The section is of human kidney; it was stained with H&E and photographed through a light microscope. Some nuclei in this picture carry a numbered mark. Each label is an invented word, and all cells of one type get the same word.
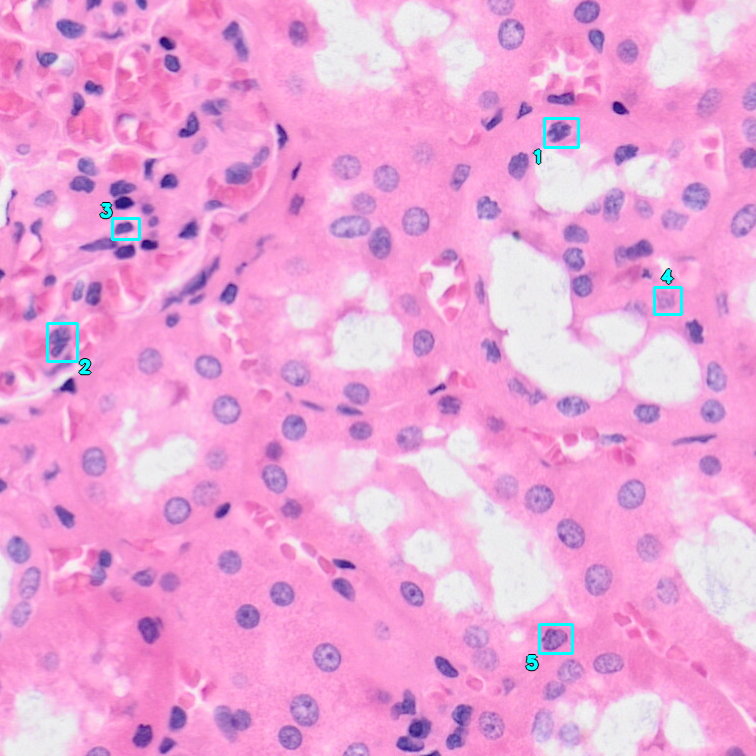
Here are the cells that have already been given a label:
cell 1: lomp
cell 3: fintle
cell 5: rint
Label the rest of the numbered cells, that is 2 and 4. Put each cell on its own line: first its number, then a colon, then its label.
2: fintle
4: lomp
